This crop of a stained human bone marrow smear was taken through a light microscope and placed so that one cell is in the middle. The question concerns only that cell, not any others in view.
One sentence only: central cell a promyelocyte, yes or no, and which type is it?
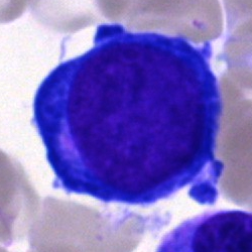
No, in the centre of the crop lies a proerythroblast, not a promyelocyte.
